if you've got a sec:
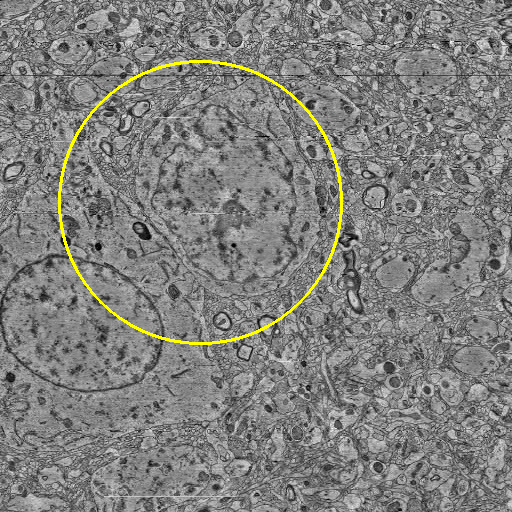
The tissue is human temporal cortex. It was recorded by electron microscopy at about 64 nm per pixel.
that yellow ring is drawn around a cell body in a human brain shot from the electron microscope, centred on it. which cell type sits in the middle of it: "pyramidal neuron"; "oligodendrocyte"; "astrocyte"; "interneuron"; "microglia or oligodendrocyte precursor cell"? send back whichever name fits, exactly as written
interneuron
